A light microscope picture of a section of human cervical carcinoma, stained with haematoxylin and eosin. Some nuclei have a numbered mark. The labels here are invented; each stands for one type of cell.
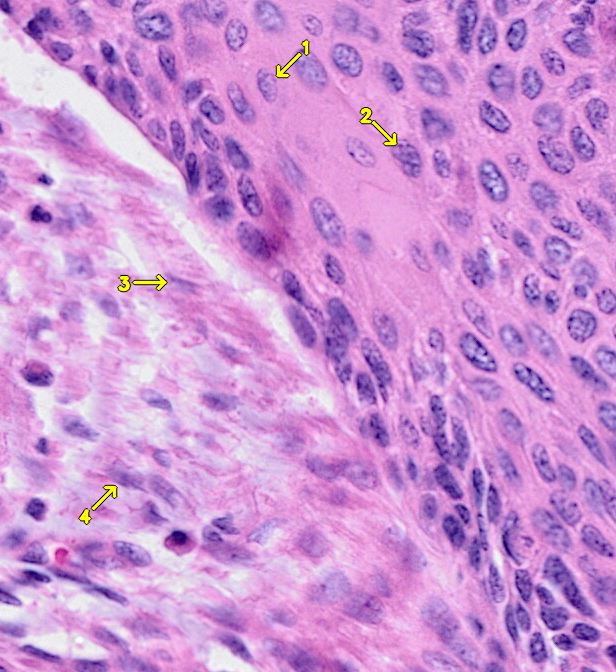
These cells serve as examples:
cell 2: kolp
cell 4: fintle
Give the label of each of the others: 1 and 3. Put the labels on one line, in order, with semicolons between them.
kolp; fintle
